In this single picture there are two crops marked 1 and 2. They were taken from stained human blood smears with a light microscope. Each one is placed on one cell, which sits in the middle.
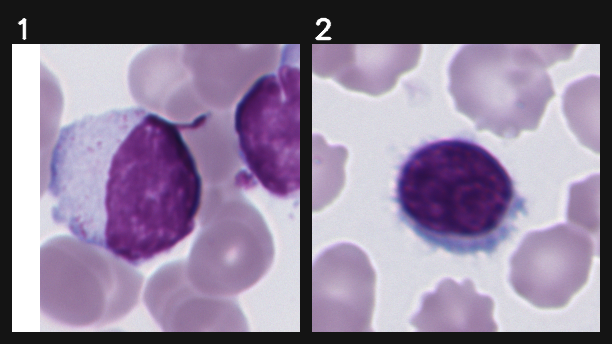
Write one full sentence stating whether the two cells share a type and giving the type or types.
No, crop 1 carries a large granular lymphocyte and crop 2 carries a hairy cell.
